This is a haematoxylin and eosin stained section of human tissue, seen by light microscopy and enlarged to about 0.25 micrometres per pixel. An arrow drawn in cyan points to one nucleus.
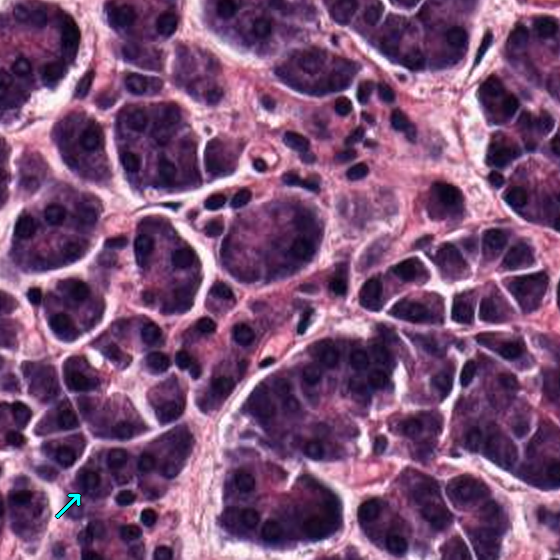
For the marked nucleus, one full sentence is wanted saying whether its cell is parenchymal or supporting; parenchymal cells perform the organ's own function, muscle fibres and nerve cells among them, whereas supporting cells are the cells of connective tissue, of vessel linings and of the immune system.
The marked nucleus is assigned to a parenchymal cell, namely a pancreatic acinar cell.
